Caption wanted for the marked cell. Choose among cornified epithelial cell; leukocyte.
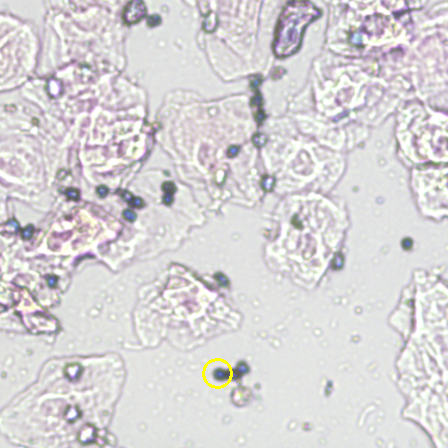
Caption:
Ringed in yellow is a leukocyte.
